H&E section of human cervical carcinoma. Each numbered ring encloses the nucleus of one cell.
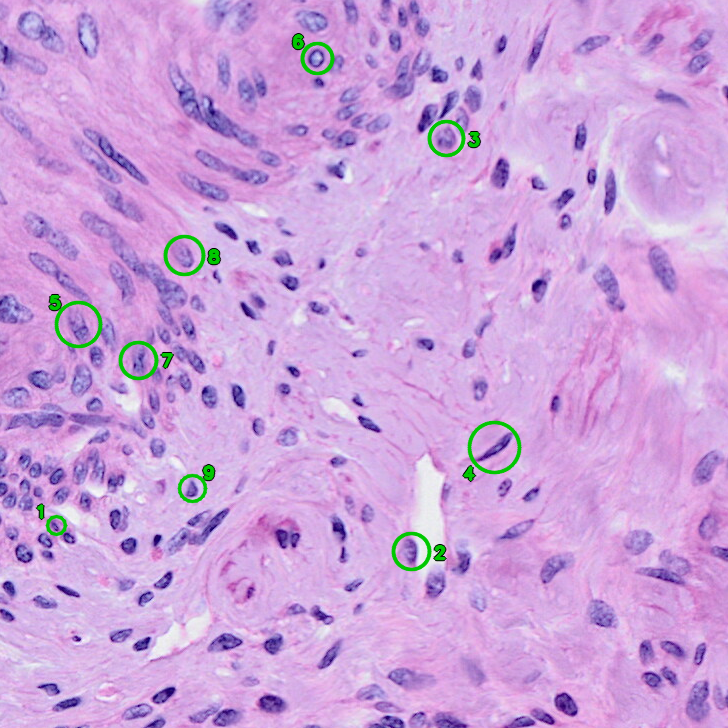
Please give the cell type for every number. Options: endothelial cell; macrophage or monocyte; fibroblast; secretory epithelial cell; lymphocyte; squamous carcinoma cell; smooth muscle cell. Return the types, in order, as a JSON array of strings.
["smooth muscle cell", "endothelial cell", "endothelial cell", "fibroblast", "smooth muscle cell", "smooth muscle cell", "smooth muscle cell", "smooth muscle cell", "fibroblast"]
